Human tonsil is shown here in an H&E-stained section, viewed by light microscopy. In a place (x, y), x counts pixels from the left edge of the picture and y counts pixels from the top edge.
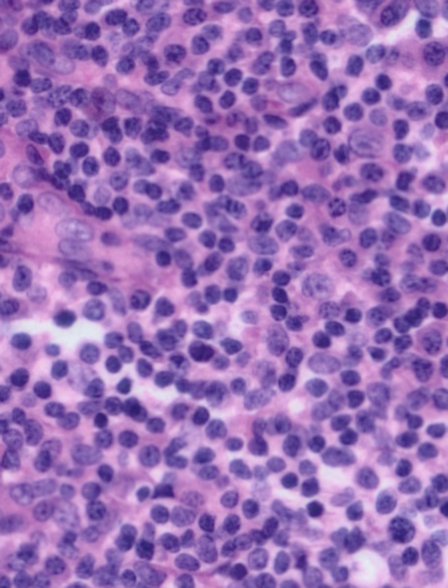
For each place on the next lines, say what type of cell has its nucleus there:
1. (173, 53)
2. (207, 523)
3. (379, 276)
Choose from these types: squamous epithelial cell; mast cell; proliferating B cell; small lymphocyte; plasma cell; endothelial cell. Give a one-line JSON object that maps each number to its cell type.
{"1": "plasma cell", "2": "small lymphocyte", "3": "plasma cell"}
